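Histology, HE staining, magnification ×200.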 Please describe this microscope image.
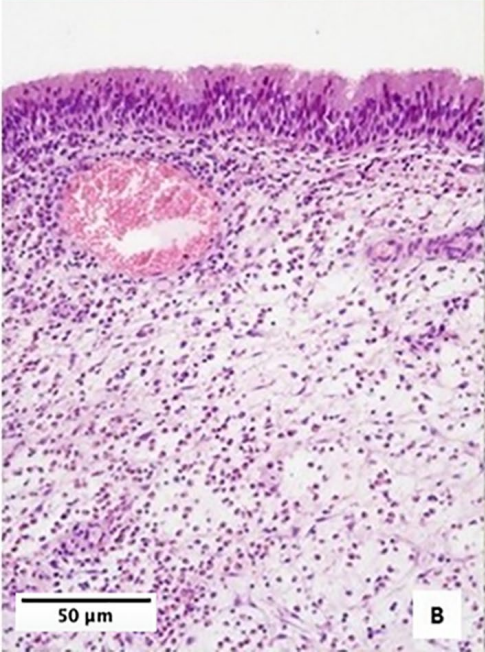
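This section shows a mucosa lined by a tall, multi-layered columnar epithelium whose nuclei crowd toward the base and whose surface is pale and fringed. Beneath it lies a loose, pale, oedematous connective tissue densely scattered with small round inflammatory cells. A blood vessel filled with red blood cells lies just under the epithelium.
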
